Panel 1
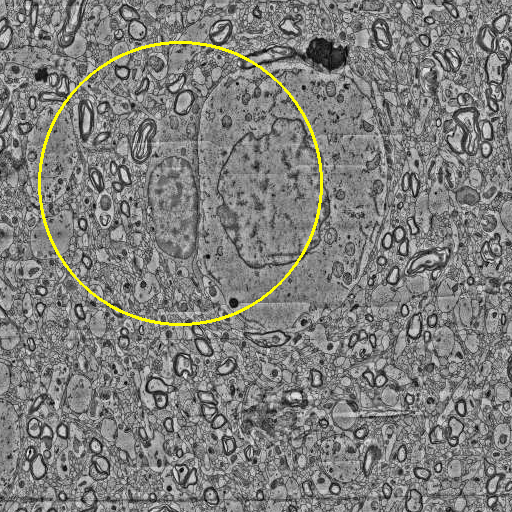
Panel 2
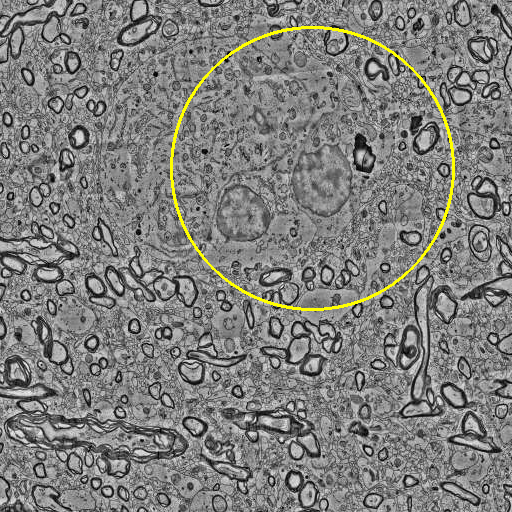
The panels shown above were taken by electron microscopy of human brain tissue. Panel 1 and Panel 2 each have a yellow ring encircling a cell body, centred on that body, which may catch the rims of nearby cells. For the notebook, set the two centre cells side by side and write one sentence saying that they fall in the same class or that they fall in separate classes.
The centred cells of Panel 1 and Panel 2 fall in the same class.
